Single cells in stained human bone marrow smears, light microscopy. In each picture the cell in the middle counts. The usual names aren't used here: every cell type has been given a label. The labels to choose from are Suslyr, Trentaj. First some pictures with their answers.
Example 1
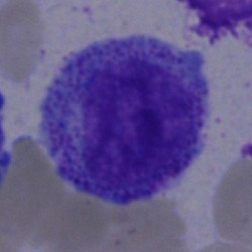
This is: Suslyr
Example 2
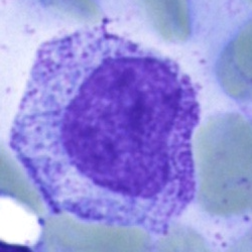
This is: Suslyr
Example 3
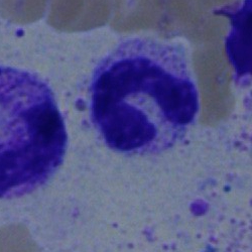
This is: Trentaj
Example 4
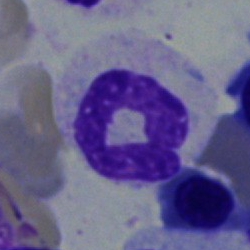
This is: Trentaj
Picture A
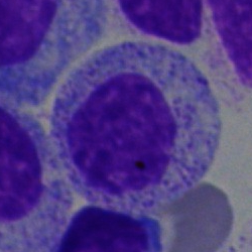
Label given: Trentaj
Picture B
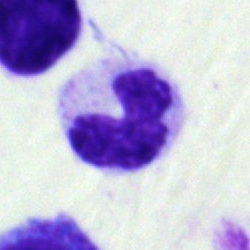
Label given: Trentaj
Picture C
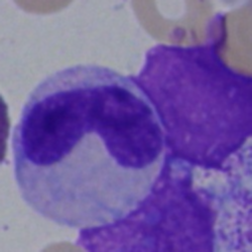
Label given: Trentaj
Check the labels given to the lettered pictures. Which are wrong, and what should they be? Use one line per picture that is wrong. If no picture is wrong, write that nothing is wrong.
A should be Suslyr, not Trentaj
